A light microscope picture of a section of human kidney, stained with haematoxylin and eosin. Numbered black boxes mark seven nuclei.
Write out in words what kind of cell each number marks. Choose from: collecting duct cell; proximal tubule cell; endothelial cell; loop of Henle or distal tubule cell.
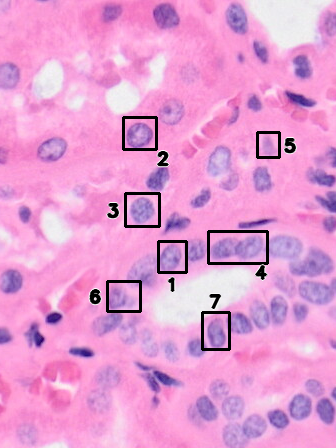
Cells 1, 4, 6 and 7 are collecting duct cells. Cell 2 is a proximal tubule cell. Cells 3 and 5 are loop of Henle or distal tubule cells.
